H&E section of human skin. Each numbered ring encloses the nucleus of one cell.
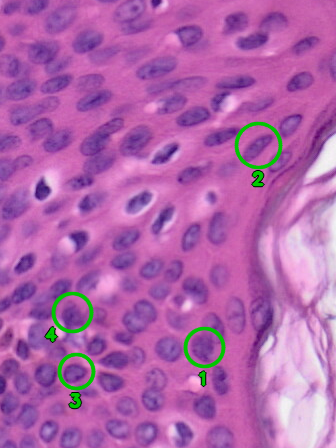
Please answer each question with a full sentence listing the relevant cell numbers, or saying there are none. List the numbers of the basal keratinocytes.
The cells whose numbers are 3 and 4 are basal keratinocytes.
